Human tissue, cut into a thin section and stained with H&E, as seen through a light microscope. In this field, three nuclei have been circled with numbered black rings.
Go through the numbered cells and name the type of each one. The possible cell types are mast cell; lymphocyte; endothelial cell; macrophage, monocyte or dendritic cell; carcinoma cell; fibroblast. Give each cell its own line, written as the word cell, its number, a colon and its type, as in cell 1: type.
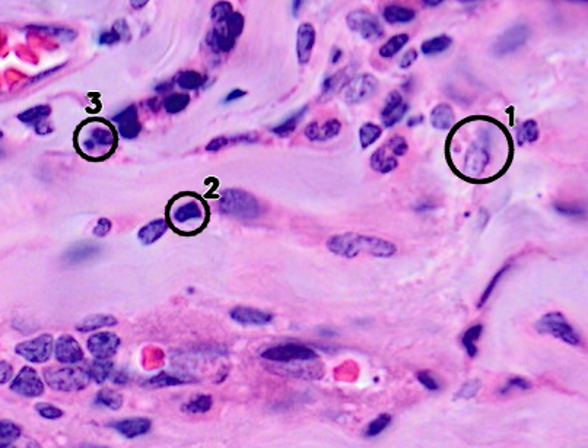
cell 1: macrophage, monocyte or dendritic cell
cell 2: lymphocyte
cell 3: lymphocyte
